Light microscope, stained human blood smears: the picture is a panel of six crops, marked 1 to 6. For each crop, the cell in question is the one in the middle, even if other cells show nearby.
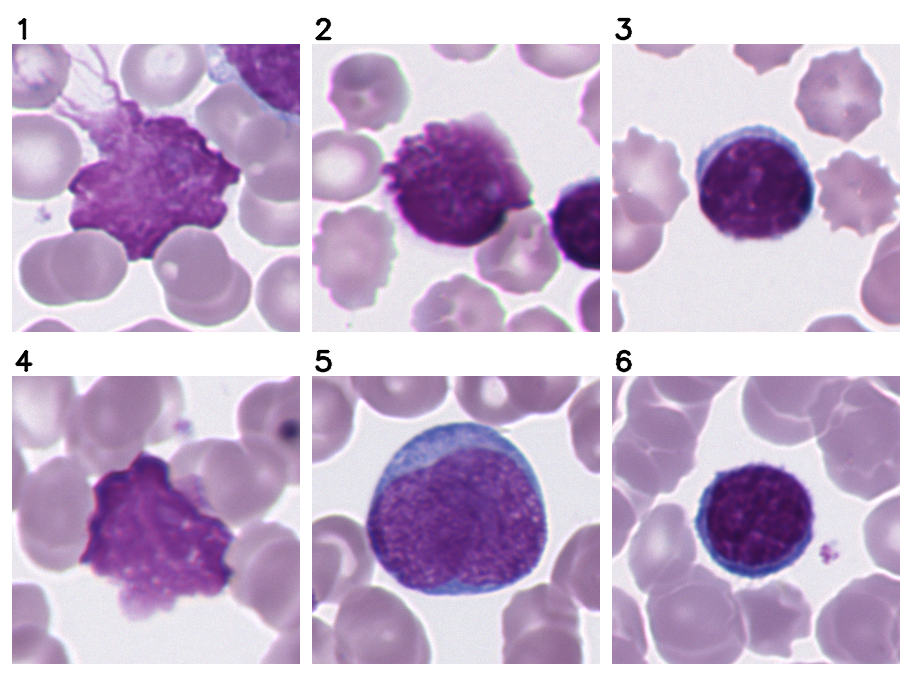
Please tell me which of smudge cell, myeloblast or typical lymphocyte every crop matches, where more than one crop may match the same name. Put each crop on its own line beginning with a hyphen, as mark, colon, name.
- 1: smudge cell
- 2: smudge cell
- 3: typical lymphocyte
- 4: smudge cell
- 5: myeloblast
- 6: typical lymphocyte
